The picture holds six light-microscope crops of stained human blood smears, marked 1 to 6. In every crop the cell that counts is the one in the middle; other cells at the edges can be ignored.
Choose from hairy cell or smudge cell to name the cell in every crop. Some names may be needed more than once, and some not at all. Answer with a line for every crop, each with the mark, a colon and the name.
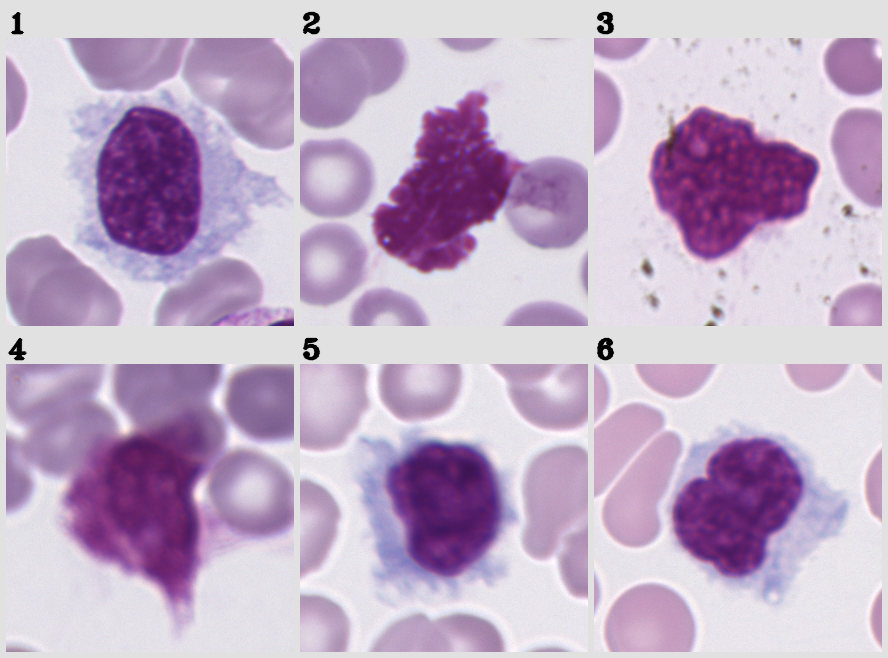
1: hairy cell
2: smudge cell
3: smudge cell
4: smudge cell
5: hairy cell
6: hairy cell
